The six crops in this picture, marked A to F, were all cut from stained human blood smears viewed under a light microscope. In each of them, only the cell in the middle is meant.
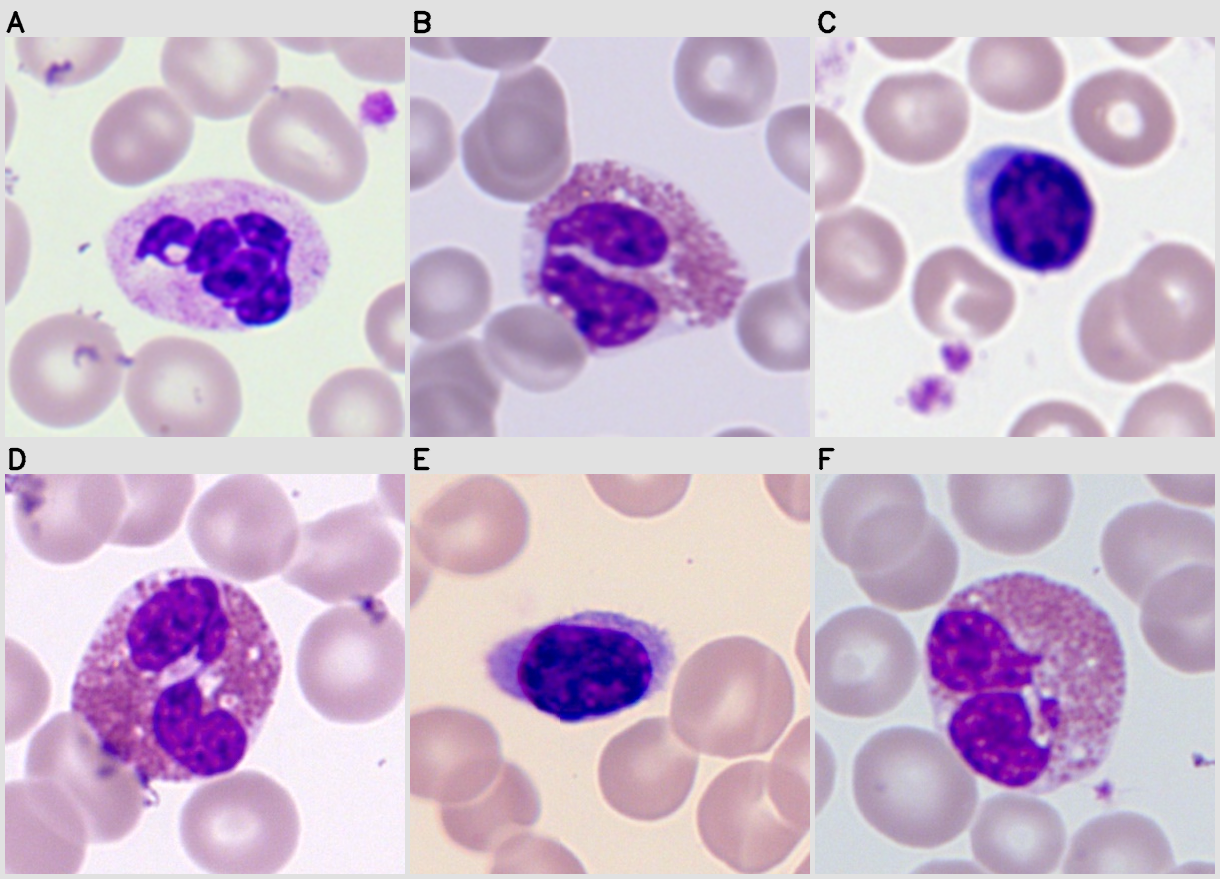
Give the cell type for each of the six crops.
A: segmented neutrophil
B: eosinophil
C: lymphocyte
D: eosinophil
E: lymphocyte
F: eosinophil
